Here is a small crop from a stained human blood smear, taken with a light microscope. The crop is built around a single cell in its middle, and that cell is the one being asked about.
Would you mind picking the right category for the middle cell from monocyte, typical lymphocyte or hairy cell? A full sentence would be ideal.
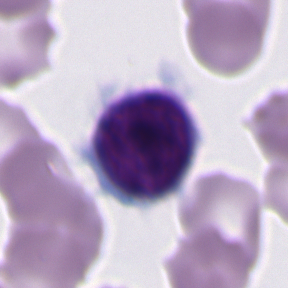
The middle position in this crop is taken by a hairy cell.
